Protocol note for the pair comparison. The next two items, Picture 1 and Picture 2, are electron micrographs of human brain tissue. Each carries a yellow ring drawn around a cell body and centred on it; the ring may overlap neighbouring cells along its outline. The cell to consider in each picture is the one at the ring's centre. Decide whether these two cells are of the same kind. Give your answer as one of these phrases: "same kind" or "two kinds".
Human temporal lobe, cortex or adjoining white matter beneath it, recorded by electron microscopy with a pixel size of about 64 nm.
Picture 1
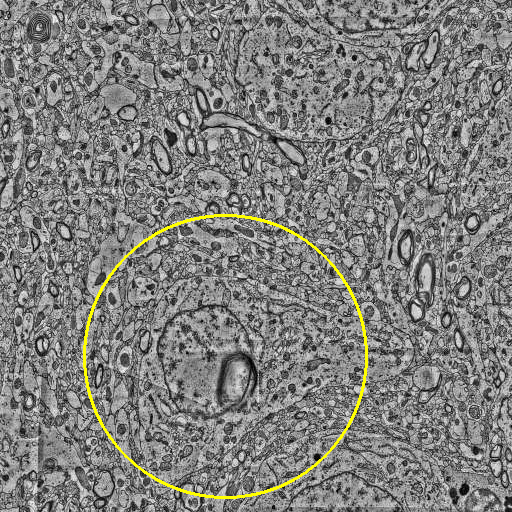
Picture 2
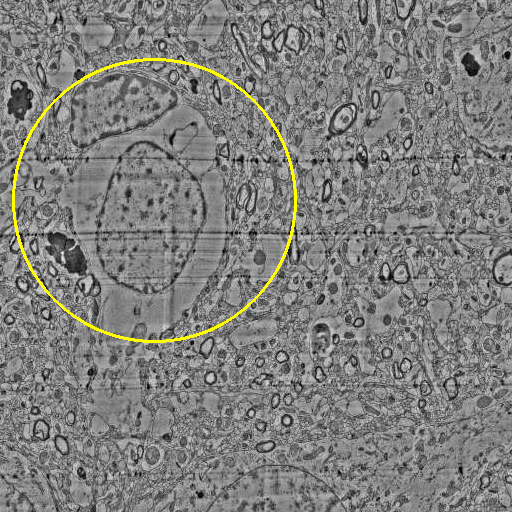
two kinds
